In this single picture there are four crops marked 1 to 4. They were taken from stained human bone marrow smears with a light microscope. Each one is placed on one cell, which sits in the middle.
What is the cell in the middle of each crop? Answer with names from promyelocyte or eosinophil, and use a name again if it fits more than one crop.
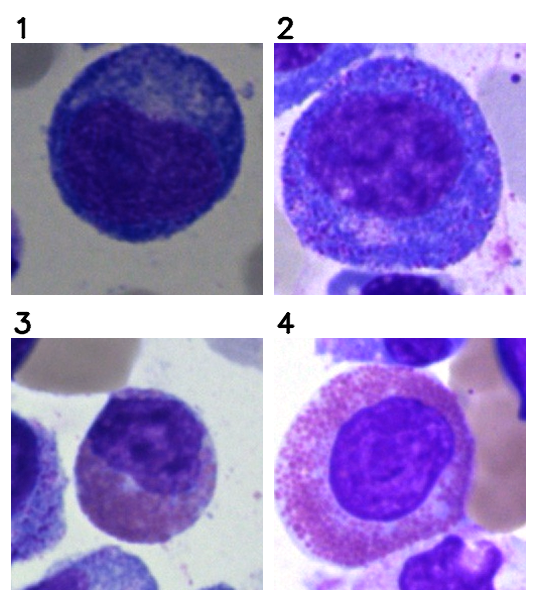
1: promyelocyte
2: promyelocyte
3: eosinophil
4: eosinophil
